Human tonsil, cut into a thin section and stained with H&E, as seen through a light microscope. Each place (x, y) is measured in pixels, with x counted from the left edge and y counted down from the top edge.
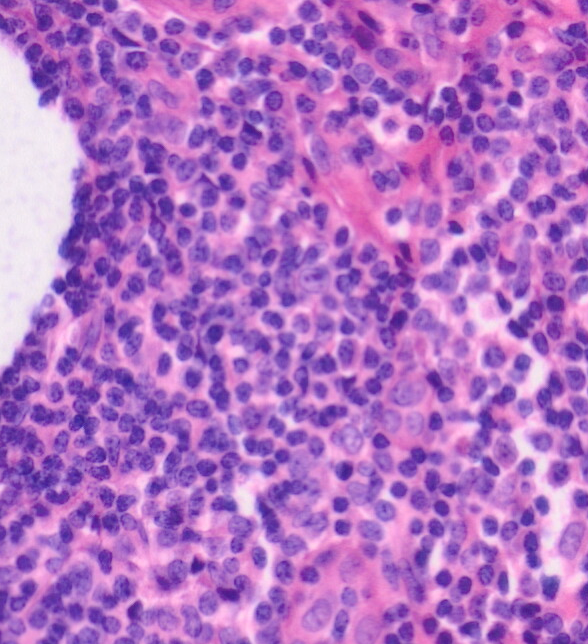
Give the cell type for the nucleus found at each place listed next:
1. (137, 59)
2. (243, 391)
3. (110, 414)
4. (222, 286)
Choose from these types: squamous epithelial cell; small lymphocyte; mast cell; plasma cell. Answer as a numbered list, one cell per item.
1. plasma cell
2. small lymphocyte
3. small lymphocyte
4. small lymphocyte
